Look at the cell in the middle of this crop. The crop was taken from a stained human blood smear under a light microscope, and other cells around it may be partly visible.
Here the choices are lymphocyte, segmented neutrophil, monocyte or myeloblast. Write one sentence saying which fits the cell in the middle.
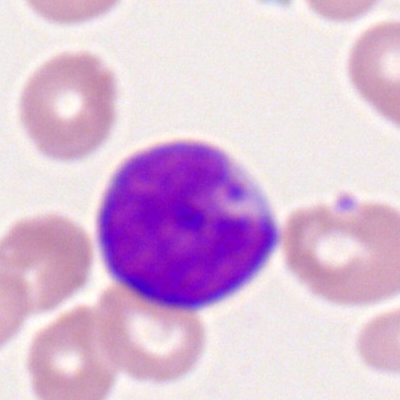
The cell nearest the centre of this crop is a myeloblast.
